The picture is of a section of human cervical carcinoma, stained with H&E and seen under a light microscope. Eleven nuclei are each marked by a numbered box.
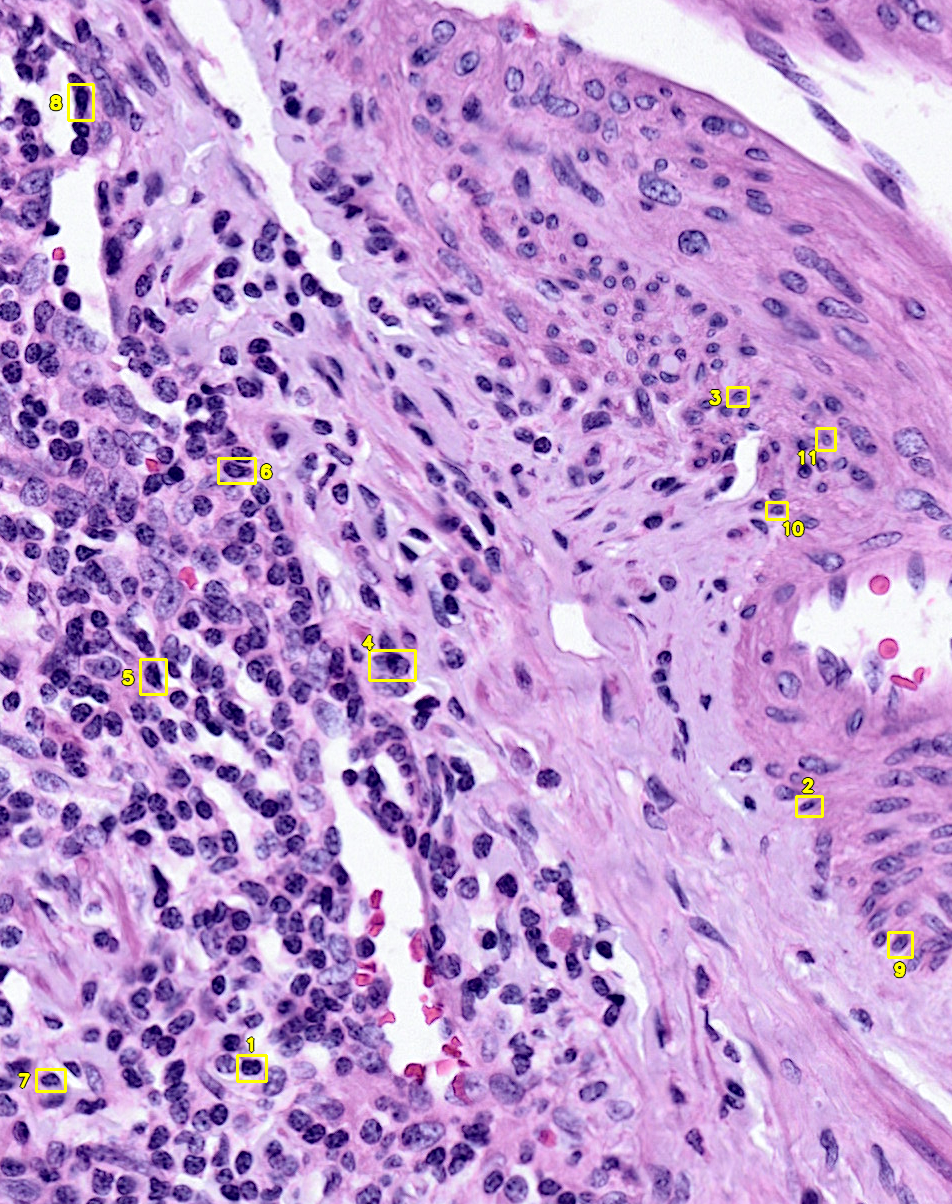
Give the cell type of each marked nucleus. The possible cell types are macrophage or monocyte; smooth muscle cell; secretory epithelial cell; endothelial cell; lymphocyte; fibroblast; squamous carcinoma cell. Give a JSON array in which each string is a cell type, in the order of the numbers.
["lymphocyte", "smooth muscle cell", "smooth muscle cell", "lymphocyte", "lymphocyte", "lymphocyte", "lymphocyte", "lymphocyte", "smooth muscle cell", "smooth muscle cell", "smooth muscle cell"]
